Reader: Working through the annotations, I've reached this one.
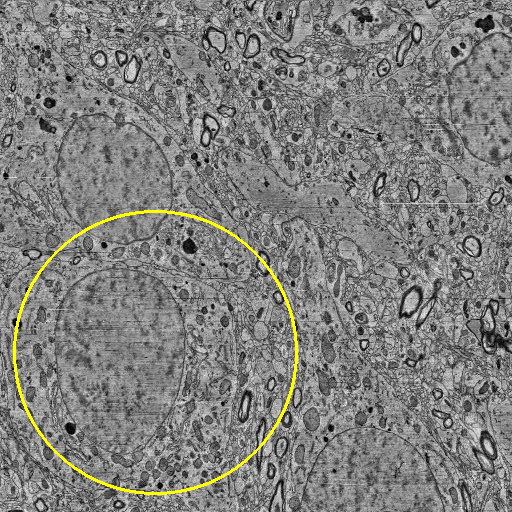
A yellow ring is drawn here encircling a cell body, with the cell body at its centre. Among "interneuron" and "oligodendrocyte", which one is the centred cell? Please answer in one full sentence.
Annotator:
The cell body at the centre of the yellow ring in this image belongs to an interneuron.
